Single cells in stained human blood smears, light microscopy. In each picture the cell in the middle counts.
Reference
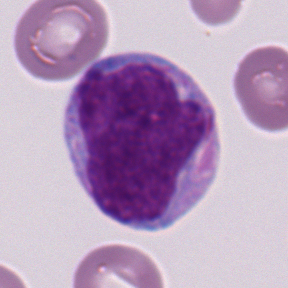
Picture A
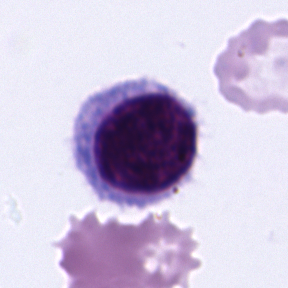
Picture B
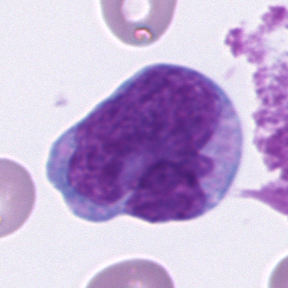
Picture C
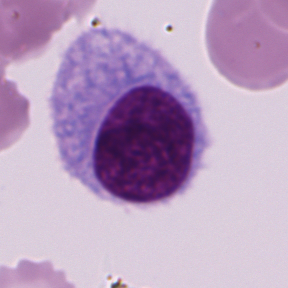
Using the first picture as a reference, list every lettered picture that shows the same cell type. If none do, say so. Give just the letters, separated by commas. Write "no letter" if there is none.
B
